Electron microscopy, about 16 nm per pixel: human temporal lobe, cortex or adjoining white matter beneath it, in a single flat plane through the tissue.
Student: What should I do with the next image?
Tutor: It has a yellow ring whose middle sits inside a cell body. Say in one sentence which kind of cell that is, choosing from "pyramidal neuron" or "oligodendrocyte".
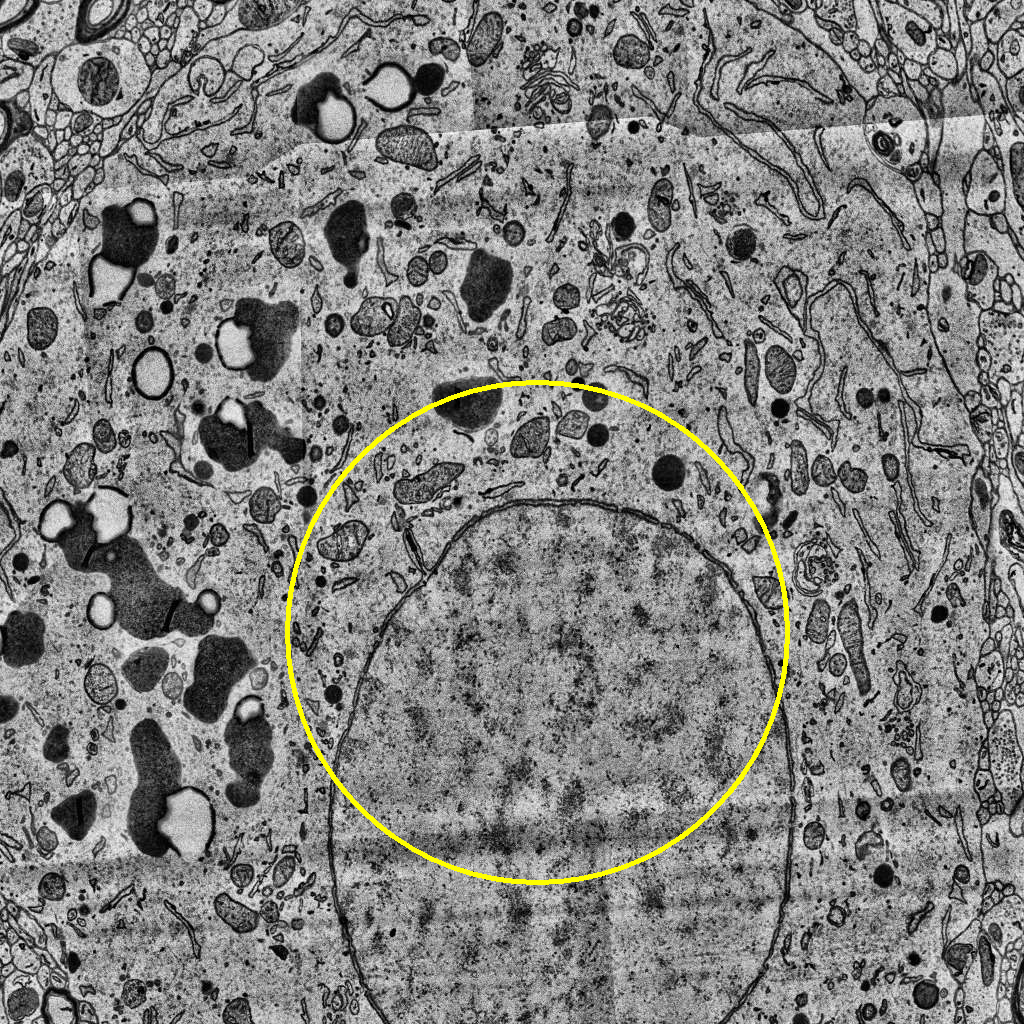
The ring's centre is occupied by a pyramidal neuron.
